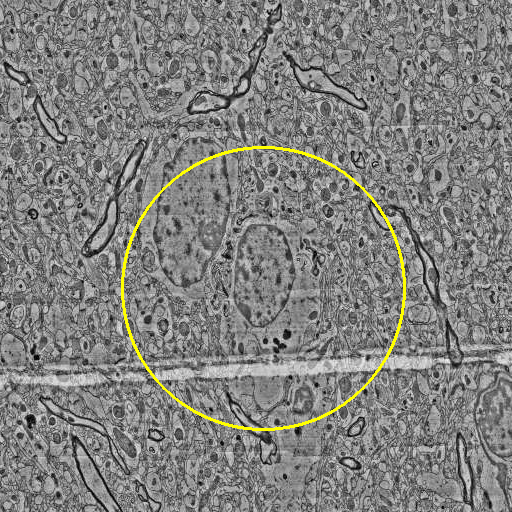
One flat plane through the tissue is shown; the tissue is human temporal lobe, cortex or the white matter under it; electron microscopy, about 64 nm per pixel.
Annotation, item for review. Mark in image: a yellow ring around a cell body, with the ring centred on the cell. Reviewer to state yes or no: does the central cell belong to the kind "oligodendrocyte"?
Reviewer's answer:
no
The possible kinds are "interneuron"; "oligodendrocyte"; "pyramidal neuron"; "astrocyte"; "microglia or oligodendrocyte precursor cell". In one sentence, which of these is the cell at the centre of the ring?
The correct answer is that the cell is an astrocyte.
